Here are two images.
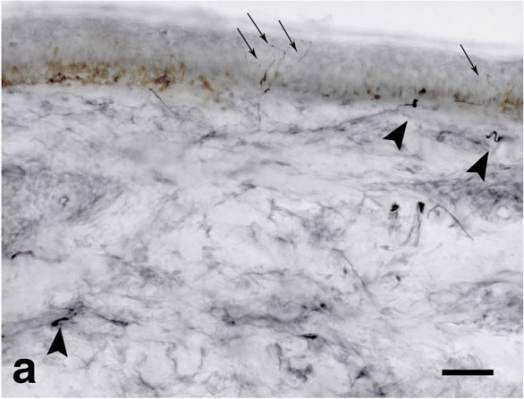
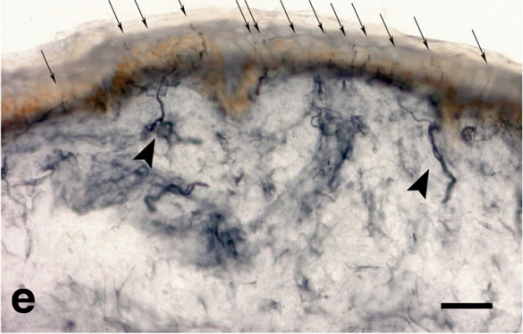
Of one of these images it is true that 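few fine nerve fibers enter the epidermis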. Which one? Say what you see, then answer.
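Second image: many fine dark threads cross the upper layer at close intervals along the surface. First image: only a few fine dark threads are seen in the upper layer. So: the first image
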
